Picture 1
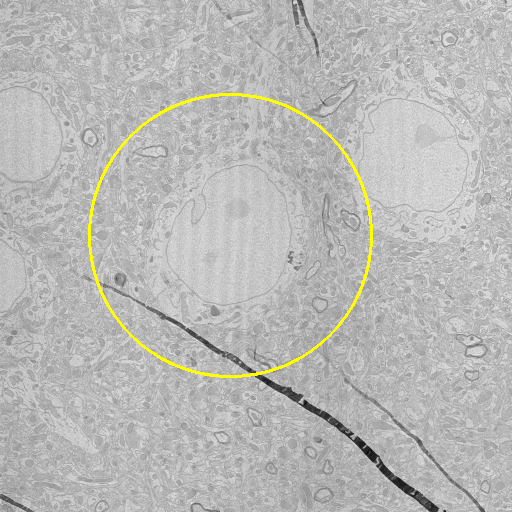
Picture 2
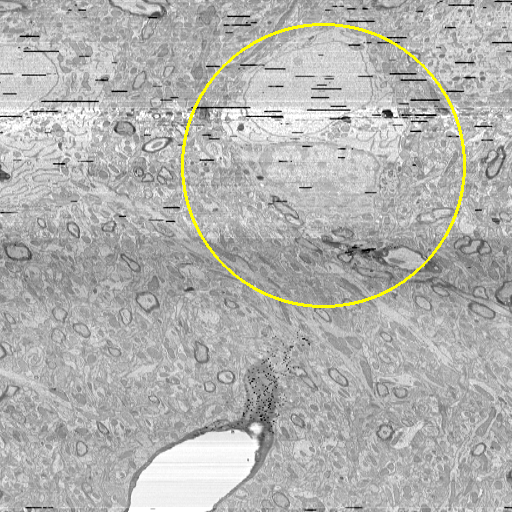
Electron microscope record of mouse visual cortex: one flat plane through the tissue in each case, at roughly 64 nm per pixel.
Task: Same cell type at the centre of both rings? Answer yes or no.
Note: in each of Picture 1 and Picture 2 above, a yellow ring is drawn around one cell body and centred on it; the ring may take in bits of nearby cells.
no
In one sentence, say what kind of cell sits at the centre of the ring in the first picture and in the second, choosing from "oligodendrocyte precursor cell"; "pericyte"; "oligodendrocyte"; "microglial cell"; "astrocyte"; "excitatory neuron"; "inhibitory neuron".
The first picture's ringed cell is an excitatory neuron, while the second picture's is an oligodendrocyte.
